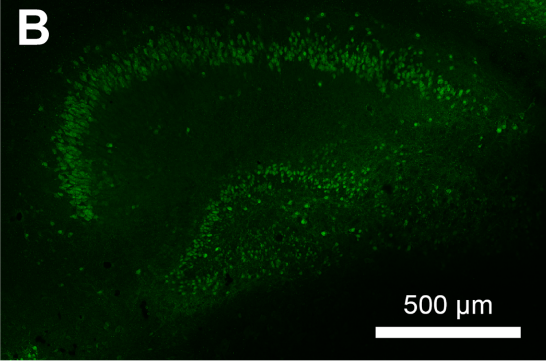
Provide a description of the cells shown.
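Along the top runs a long arching band of densely packed green cell bodies, the cell body layer, which sweeps down on the left side into a broad curved end. Nested beneath it lies a second, C-shaped band of small, tightly packed cells, the granule cell layer. Between and around these bands the tissue is dark, with only scattered single green cells. The upper band looks less densely filled toward its right end, yet the overall arrangement of the layers is still clearly recognizable.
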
